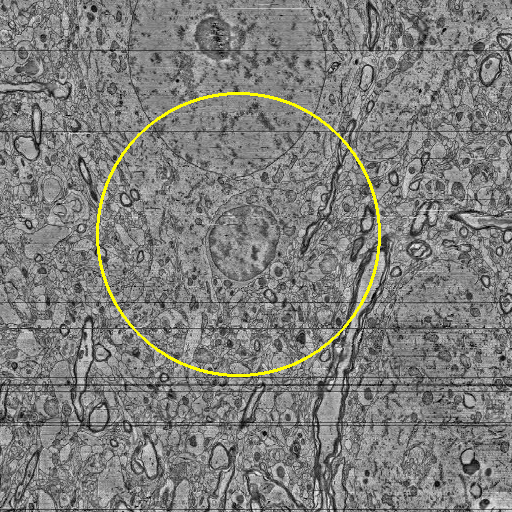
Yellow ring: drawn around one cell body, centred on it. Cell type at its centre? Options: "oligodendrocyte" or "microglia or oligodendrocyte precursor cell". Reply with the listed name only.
oligodendrocyte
